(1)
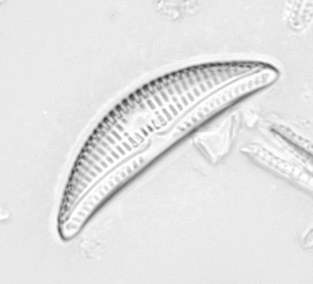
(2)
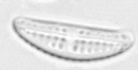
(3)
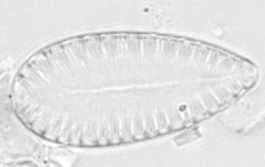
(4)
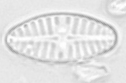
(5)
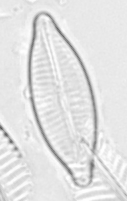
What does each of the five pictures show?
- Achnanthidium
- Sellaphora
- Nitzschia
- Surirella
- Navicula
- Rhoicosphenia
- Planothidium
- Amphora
1. Amphora
2. Amphora
3. Surirella
4. Planothidium
5. Navicula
